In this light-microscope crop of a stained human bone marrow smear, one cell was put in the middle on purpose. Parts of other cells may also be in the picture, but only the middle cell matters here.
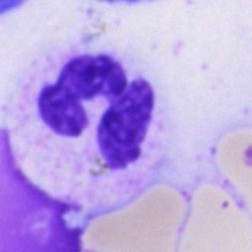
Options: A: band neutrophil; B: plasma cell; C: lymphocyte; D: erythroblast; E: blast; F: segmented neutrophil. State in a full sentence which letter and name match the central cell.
Option F is the correct option, with the middle cell being a segmented neutrophil.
